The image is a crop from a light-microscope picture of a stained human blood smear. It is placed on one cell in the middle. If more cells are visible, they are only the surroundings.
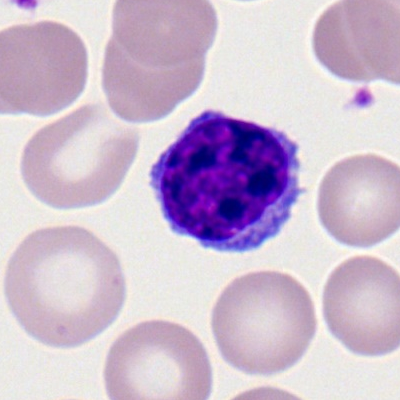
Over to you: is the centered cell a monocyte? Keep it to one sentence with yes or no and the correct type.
No, in this crop the middle cell is a lymphocyte, not a monocyte.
